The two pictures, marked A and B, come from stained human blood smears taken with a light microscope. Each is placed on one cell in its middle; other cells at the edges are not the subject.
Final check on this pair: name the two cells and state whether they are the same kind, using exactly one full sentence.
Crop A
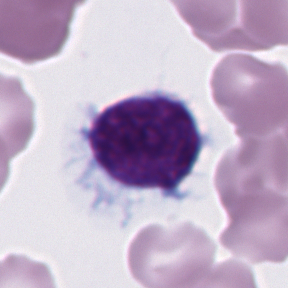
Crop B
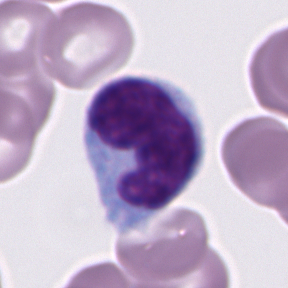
No, for crop A the cell is a hairy cell, and for crop B it is a monocyte.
